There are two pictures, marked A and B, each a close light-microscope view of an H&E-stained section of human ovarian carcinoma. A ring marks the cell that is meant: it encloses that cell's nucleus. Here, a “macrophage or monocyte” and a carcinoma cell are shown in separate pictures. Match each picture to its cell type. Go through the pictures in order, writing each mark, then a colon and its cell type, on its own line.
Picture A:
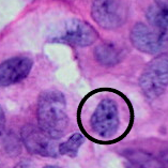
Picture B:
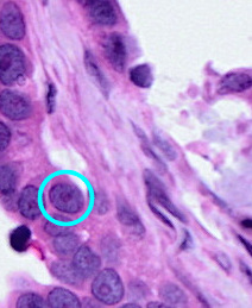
A: macrophage or monocyte
B: carcinoma cell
